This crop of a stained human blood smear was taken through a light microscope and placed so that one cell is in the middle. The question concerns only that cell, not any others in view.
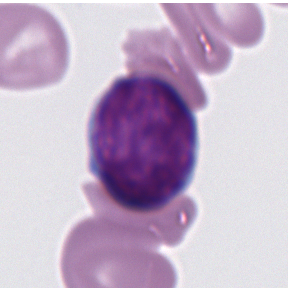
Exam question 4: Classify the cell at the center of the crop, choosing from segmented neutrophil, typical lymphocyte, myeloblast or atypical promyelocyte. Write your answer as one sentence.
For this crop, the central cell is a myeloblast.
